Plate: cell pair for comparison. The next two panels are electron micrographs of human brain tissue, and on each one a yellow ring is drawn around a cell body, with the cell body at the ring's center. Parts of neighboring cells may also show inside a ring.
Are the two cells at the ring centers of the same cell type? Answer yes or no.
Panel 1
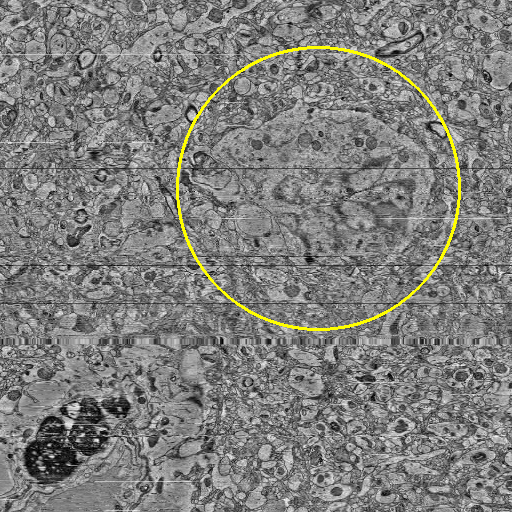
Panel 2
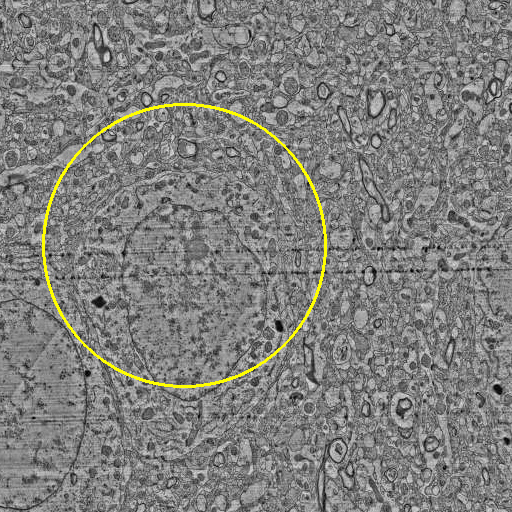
yes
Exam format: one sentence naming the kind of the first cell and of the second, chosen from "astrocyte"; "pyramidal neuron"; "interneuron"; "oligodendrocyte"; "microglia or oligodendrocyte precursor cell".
Both cells are the same kind, each one being an interneuron.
